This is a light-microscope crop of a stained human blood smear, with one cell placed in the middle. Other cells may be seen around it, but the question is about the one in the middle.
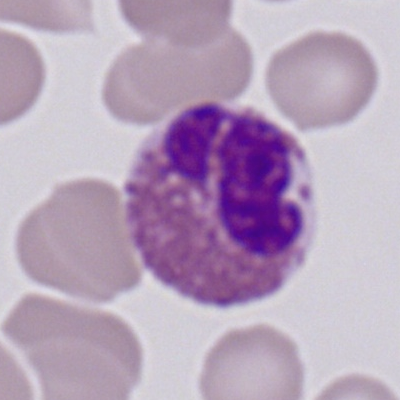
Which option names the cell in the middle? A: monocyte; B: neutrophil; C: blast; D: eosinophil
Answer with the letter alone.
D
